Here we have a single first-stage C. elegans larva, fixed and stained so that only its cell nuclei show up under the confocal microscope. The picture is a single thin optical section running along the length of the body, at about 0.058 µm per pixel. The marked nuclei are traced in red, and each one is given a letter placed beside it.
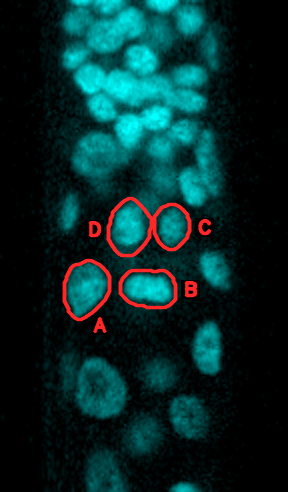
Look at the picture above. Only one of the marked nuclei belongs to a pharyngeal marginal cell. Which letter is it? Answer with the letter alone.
D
